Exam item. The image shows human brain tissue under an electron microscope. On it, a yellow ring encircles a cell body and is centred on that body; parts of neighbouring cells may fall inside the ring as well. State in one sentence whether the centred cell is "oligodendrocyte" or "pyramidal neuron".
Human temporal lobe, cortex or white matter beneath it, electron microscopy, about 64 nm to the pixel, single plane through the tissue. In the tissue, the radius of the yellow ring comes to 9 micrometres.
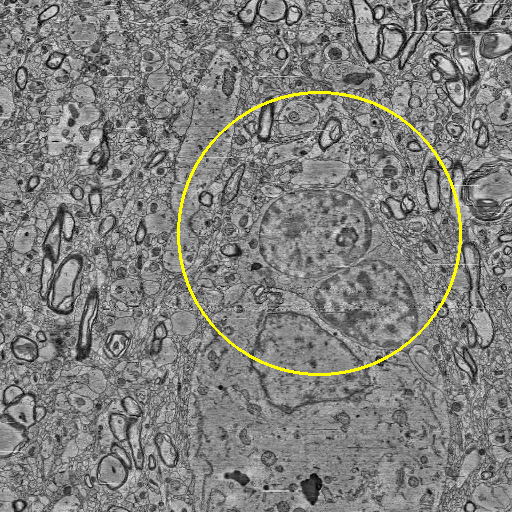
The cell body centred in the ring is an oligodendrocyte.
